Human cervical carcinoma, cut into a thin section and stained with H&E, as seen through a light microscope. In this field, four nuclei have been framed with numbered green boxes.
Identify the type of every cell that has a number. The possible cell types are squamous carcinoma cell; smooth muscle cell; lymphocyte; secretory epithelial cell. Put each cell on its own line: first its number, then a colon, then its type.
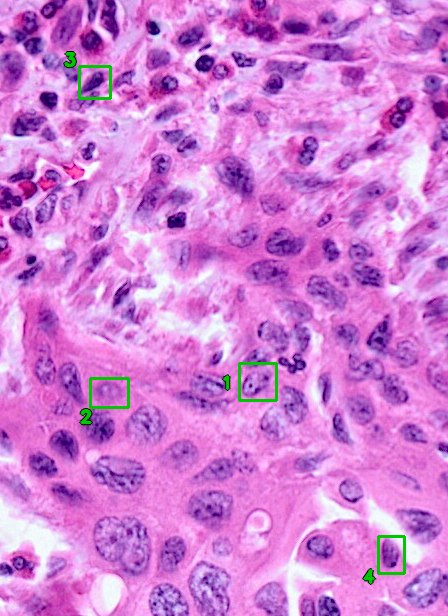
1: squamous carcinoma cell
2: squamous carcinoma cell
3: lymphocyte
4: squamous carcinoma cell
